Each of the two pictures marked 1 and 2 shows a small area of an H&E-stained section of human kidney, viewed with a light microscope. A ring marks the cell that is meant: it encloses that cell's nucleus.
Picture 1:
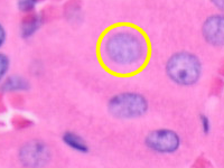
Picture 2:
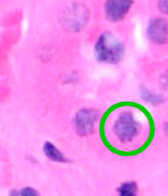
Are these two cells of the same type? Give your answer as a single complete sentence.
No, picture 1 shows a proximal tubule cell and picture 2 shows a “loop of Henle or distal tubule cell”.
